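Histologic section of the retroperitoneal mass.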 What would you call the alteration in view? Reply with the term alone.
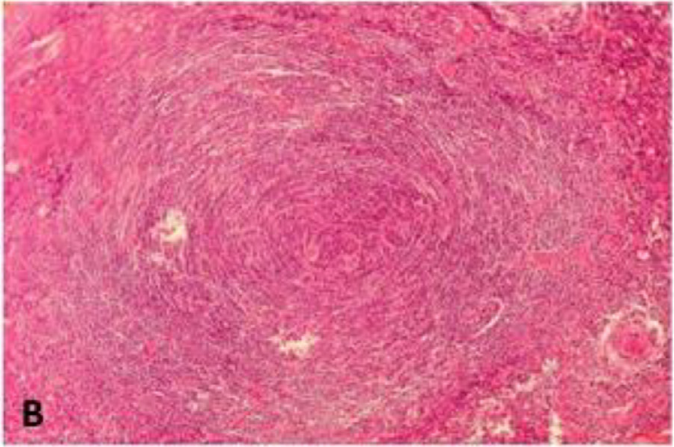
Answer: onion skin appearance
